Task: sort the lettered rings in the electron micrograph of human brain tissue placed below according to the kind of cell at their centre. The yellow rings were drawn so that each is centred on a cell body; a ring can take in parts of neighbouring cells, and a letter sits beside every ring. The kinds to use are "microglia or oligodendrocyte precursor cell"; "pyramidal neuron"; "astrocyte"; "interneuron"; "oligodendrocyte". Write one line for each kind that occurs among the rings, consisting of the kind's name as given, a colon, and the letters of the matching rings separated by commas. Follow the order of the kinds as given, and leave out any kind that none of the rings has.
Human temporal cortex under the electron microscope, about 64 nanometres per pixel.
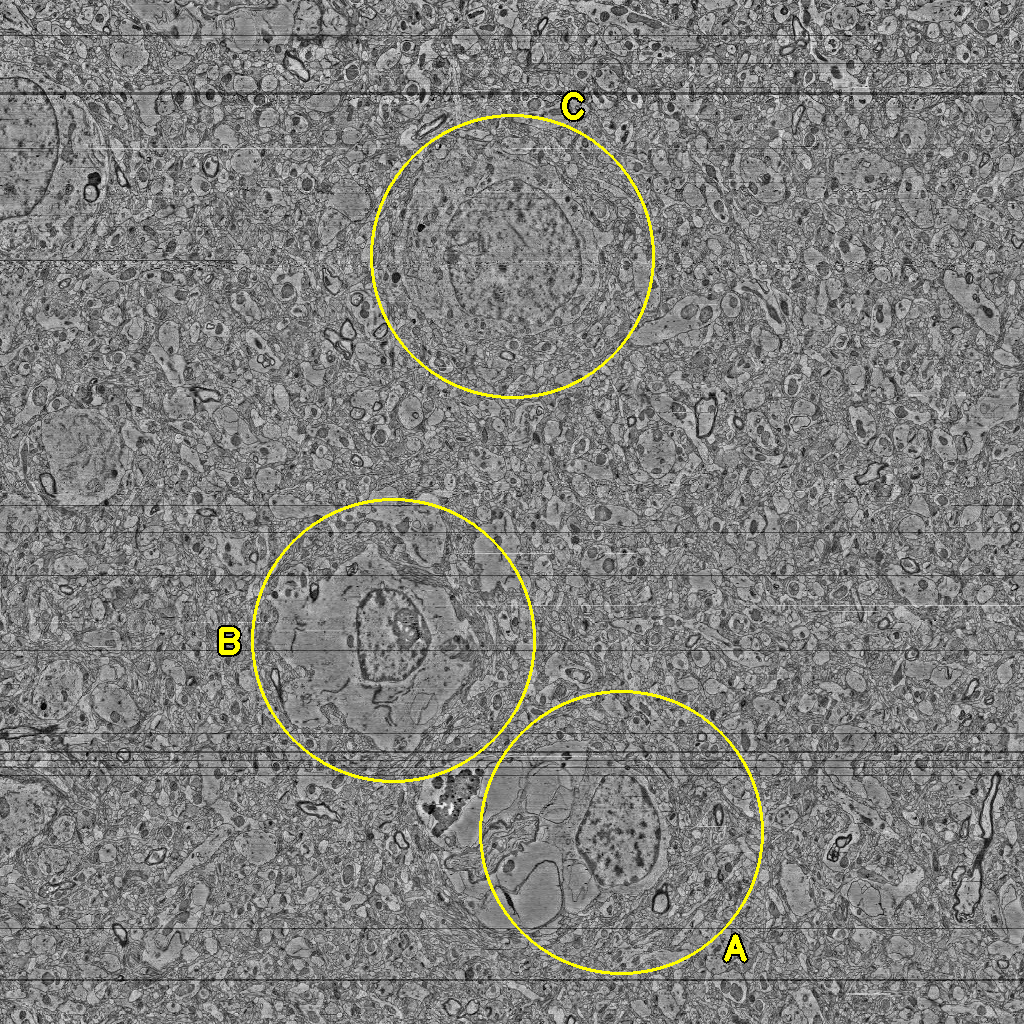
microglia or oligodendrocyte precursor cell: A
astrocyte: B
interneuron: C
